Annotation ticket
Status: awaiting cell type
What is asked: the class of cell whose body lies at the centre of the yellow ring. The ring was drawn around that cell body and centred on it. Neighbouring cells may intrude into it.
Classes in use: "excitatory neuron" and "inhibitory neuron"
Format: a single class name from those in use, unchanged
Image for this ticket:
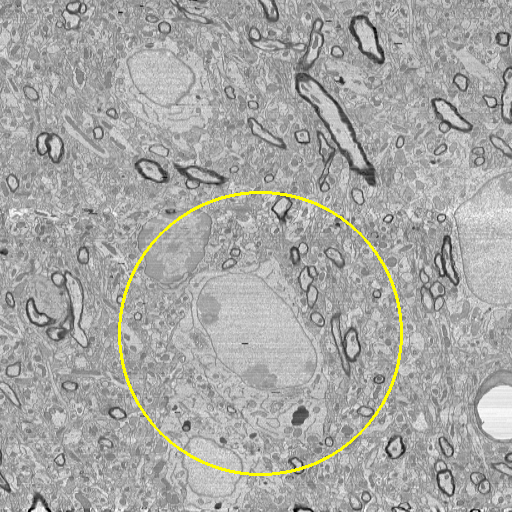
excitatory neuron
